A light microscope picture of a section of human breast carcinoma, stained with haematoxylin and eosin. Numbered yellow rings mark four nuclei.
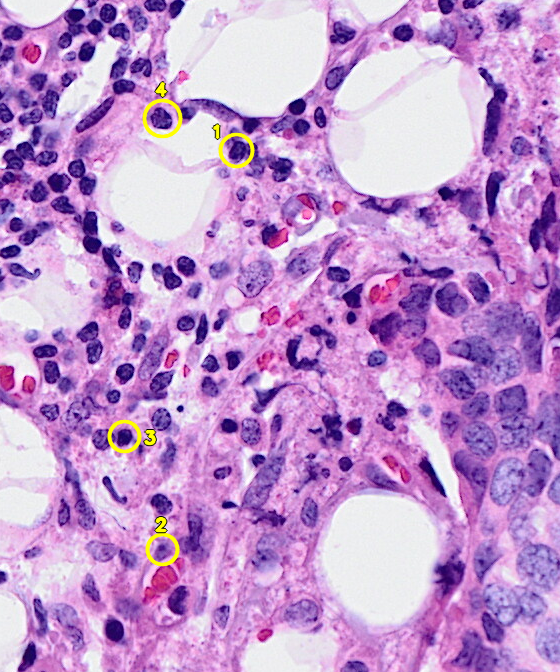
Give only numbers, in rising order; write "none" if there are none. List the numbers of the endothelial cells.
2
